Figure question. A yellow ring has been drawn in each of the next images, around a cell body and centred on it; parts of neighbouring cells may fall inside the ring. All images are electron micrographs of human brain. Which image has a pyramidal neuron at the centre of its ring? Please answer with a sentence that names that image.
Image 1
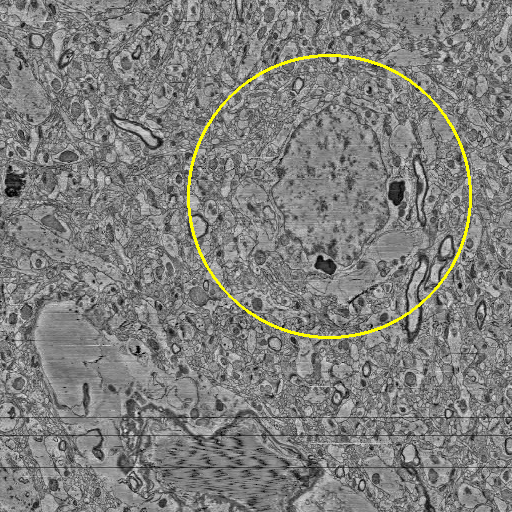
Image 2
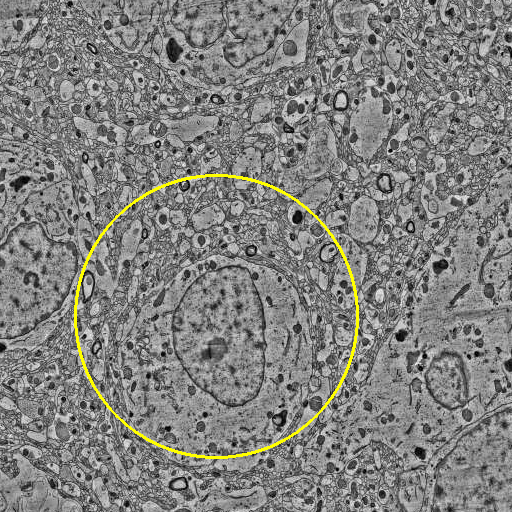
The cell at the centre of the ring in Image 2 is of that kind.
